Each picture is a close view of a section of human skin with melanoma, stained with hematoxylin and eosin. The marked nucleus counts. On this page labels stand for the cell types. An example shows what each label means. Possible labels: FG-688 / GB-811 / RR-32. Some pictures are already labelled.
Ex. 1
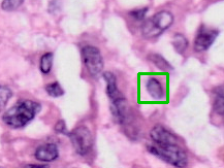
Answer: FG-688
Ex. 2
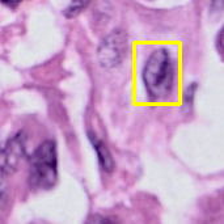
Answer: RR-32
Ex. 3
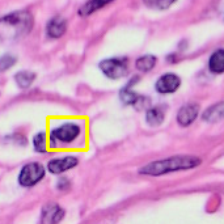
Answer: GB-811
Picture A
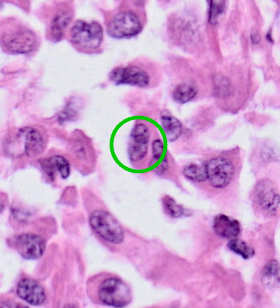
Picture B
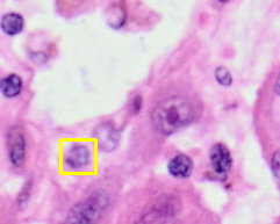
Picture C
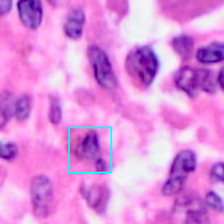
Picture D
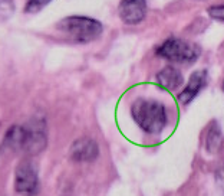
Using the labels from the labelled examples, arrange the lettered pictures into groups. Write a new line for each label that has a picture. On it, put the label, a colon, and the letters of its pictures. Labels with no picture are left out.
FG-688: B, C
RR-32: A, D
